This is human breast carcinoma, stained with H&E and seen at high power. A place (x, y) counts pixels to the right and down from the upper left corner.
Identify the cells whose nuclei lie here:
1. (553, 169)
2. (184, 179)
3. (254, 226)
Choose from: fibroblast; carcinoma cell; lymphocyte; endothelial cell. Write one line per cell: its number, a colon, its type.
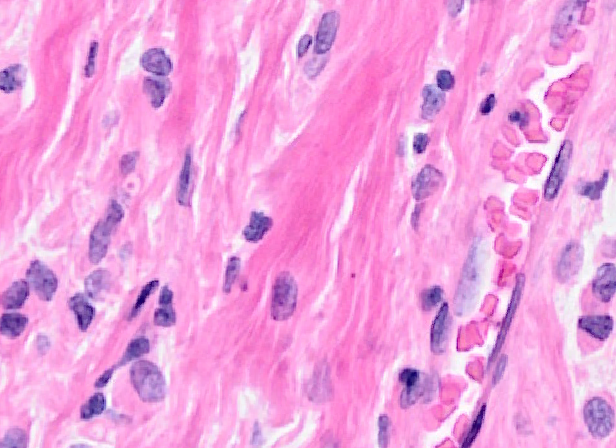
1: endothelial cell
2: fibroblast
3: lymphocyte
